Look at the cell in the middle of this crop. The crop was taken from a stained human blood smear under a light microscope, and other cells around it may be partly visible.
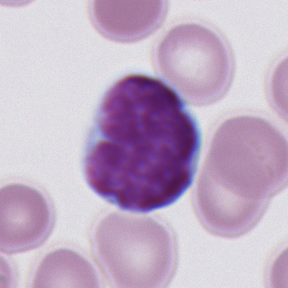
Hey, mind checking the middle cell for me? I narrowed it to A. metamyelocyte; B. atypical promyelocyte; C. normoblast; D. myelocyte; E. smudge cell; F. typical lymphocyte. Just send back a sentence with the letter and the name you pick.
At the centre of the crop lies a typical lymphocyte, which makes option F correct.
